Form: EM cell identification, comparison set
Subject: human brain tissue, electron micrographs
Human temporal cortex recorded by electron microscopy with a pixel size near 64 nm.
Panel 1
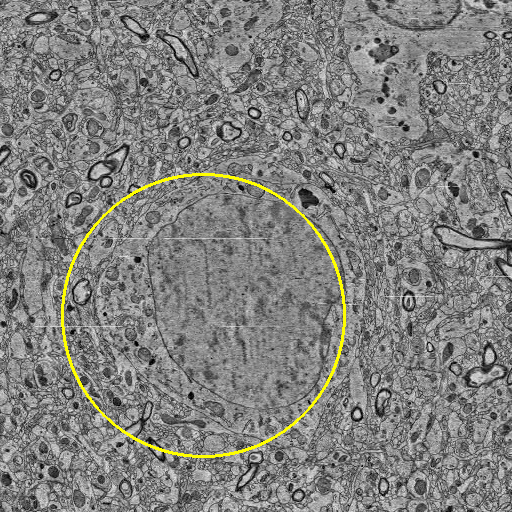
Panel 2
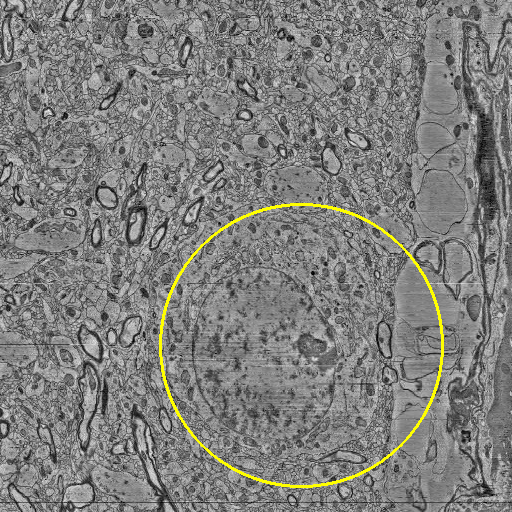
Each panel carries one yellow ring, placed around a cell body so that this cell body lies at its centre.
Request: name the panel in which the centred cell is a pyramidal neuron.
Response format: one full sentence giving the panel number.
Panel 1 has it at the centre of its ring.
